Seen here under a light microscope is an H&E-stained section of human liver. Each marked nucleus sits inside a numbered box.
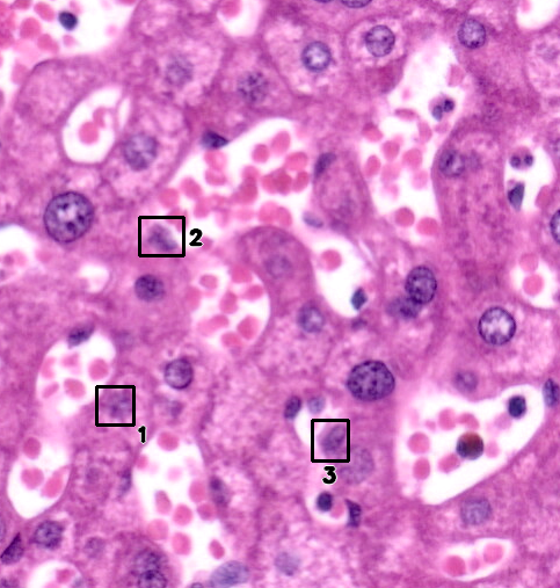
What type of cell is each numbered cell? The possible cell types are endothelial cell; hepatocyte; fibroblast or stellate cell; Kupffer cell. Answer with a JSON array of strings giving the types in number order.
["hepatocyte", "endothelial cell", "Kupffer cell"]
